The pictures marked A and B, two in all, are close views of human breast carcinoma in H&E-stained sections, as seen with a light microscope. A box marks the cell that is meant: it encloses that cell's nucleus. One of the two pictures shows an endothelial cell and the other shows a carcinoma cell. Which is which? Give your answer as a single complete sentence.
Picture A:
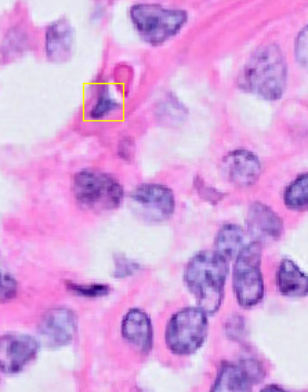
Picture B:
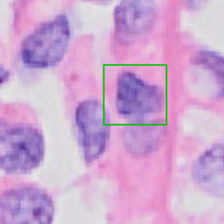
Picture A shows an endothelial cell and picture B shows a carcinoma cell.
